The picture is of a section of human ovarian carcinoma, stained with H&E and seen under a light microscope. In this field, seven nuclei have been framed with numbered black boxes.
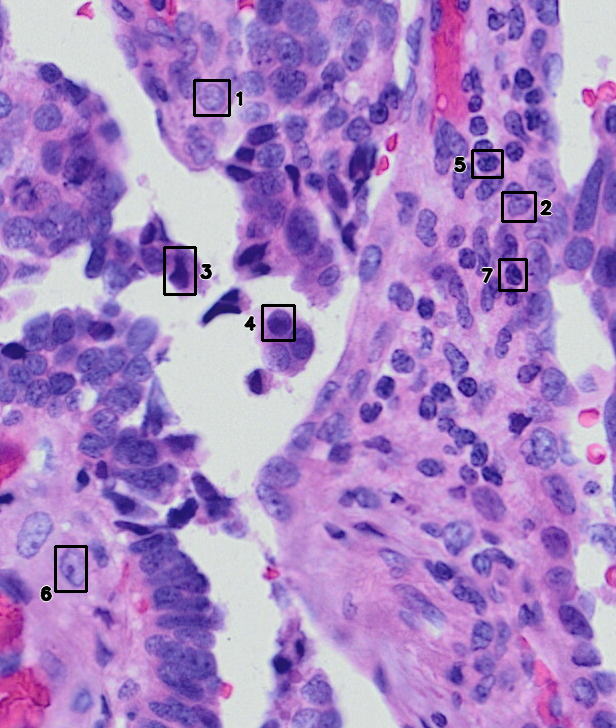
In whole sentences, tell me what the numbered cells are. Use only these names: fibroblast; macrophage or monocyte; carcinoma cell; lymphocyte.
Cell 1 is a carcinoma cell, cell 2 is a macrophage or monocyte, cell 3 is a carcinoma cell, cell 4 is a carcinoma cell, cell 5 is a lymphocyte, cell 6 is a fibroblast and cell 7 is a lymphocyte.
